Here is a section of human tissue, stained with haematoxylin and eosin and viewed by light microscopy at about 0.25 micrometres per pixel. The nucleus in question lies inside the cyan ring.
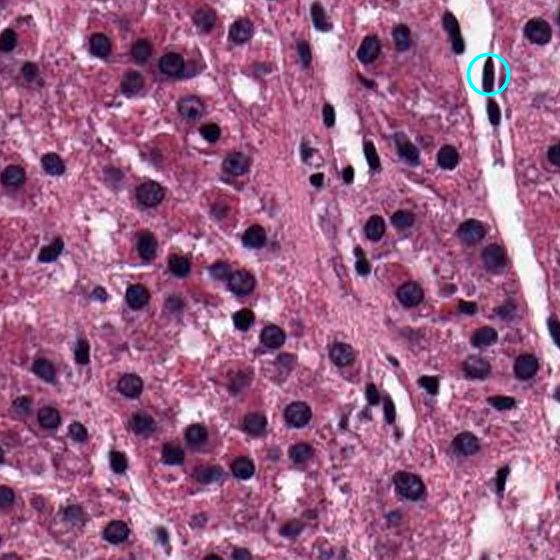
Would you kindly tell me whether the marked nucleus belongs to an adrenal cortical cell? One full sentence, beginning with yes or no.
No, the cell that carries the marked nucleus is a supporting cell, not an adrenal cortical cell.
